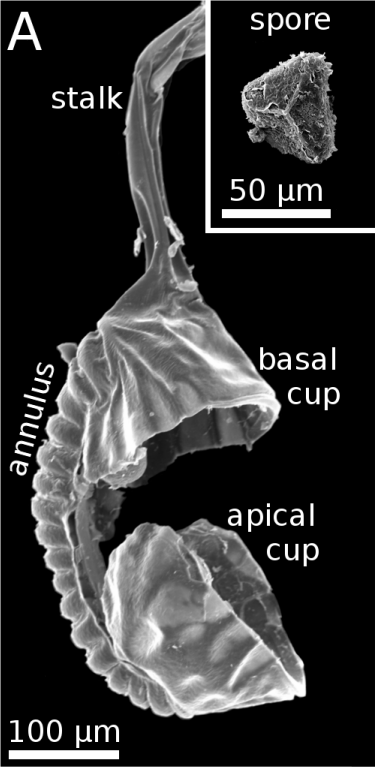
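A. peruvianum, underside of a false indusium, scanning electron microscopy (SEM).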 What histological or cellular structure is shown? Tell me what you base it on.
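A capsule on a long stalk split into two cup-shaped halves. A segmented ridge of cells runs along the back of the capsule. The opened cups contain no spores. The answer: ruptured empty sporangium.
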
